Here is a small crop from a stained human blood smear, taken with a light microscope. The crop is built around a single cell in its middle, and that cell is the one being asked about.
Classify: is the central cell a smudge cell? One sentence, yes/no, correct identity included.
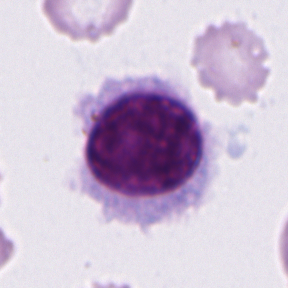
No, the cell in the middle is not a smudge cell but a hairy cell.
